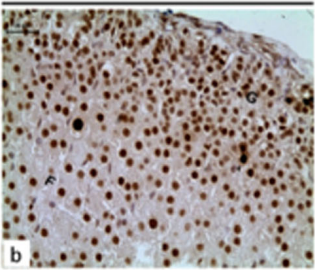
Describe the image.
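This is the outer adrenal cortex, with a thin fibrous capsule along the top and the glomerulosa zone just beneath it, passing deeper into the cords of the fasciculata zone. The cells are polygonal and tightly packed, and nearly all their round nuclei are stained a deep brown against a pale, faintly tan cytoplasm. Only a few nuclei remain pale or bluish.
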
